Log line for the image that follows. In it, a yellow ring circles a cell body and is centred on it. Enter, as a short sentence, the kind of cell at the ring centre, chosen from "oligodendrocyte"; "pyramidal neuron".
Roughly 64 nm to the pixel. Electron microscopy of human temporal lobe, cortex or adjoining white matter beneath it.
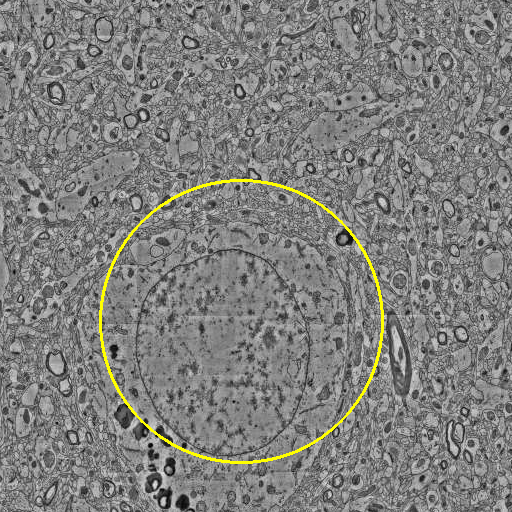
The ring centre is occupied by a pyramidal neuron.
